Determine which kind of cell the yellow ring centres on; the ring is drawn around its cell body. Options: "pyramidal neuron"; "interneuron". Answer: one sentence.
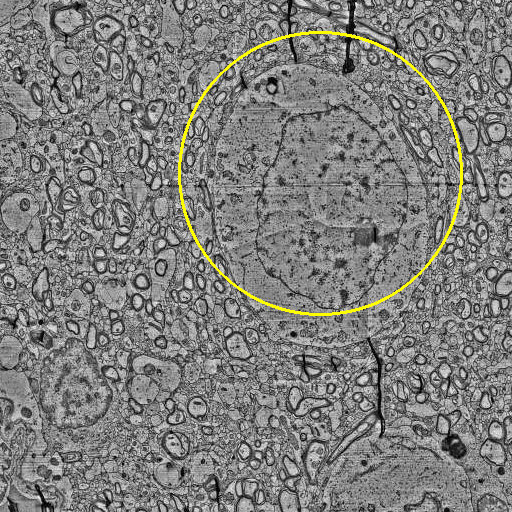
The ring centres on a pyramidal neuron.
